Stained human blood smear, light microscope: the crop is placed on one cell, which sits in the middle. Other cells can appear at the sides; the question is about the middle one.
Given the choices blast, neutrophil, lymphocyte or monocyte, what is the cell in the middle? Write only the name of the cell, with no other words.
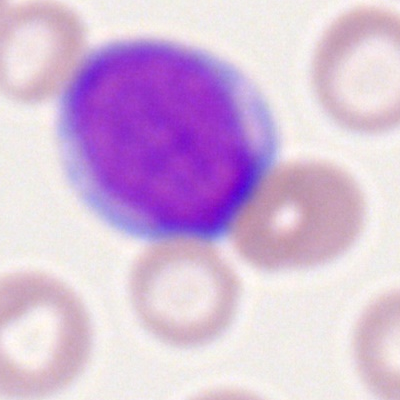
blast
